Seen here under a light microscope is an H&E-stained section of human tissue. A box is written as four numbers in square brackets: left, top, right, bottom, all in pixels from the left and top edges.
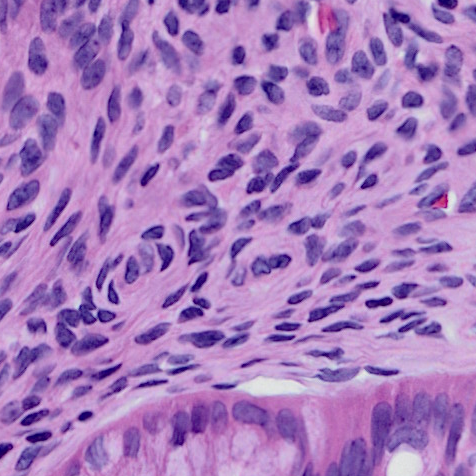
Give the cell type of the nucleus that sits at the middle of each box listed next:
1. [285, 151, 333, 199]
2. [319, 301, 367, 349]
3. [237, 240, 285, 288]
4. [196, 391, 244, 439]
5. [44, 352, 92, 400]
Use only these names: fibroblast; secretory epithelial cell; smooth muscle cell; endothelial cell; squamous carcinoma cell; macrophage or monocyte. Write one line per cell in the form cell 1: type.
cell 1: fibroblast
cell 2: fibroblast
cell 3: endothelial cell
cell 4: secretory epithelial cell
cell 5: fibroblast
